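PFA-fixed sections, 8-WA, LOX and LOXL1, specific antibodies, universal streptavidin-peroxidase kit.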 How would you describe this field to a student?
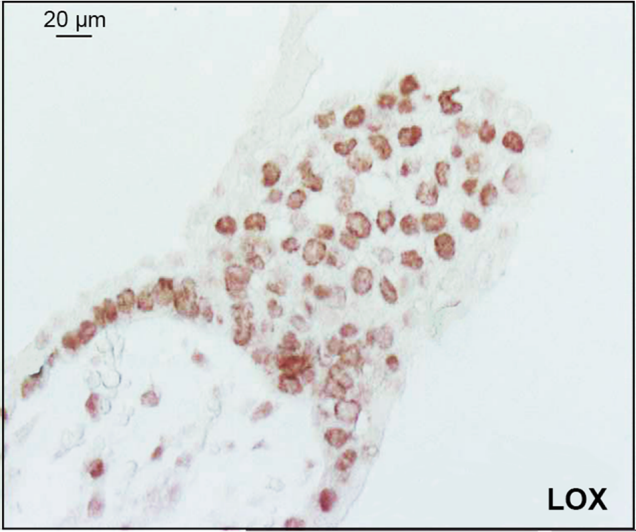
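This is a section of placental villus tissue, with a pale, loosely textured core bordered by a single row of closely set epithelial cells along its rim. From one side a dense outgrowth of rounded cells bulges outward, the cells packed in several layers with round nuclei. The nuclei throughout the lining and the outgrowth are stained reddish brown, many of them strongly, with a granular texture, while the cytoplasm around them stays nearly colourless. A few scattered stained nuclei also lie within the loose core. The background outside the tissue is clear.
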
